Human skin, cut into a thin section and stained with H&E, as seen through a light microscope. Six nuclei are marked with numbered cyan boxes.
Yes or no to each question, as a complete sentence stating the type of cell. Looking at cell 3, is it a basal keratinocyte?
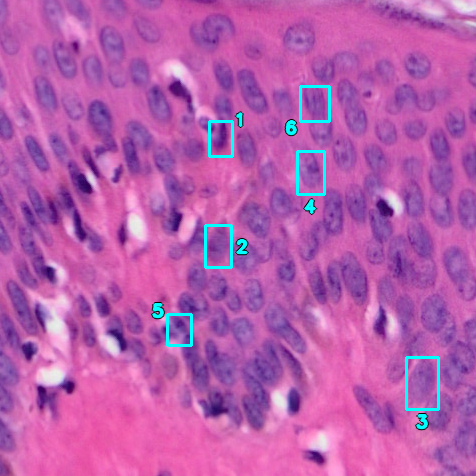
Yes, the one numbered 3 is a basal keratinocyte.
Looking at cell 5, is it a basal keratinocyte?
Yes, the cell that bears number 5 is a basal keratinocyte.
